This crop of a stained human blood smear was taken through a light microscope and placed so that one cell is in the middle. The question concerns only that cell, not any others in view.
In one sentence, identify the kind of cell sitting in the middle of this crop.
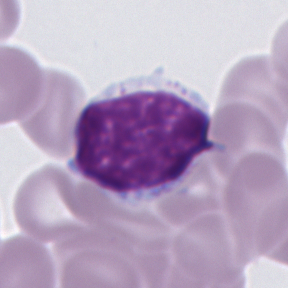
The cell featured at the centre of this crop is a large granular lymphocyte.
